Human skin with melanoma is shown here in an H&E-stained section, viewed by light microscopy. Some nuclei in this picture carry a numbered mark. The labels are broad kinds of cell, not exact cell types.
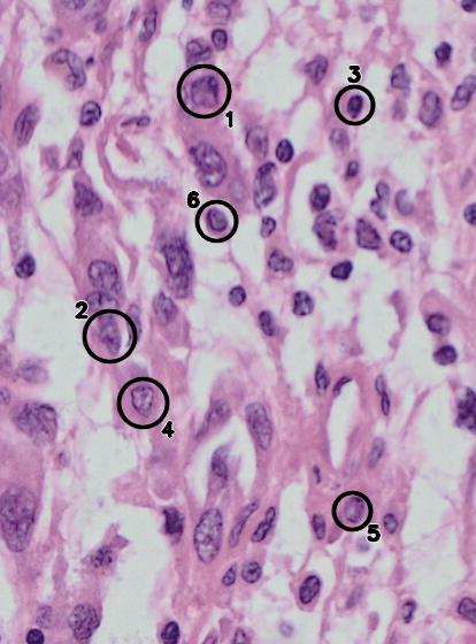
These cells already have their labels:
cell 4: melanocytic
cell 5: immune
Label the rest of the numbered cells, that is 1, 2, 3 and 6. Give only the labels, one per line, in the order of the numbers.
melanocytic
melanocytic
immune
immune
